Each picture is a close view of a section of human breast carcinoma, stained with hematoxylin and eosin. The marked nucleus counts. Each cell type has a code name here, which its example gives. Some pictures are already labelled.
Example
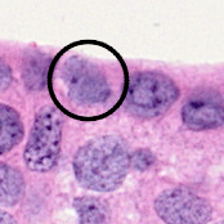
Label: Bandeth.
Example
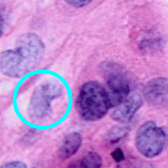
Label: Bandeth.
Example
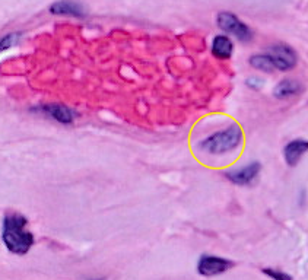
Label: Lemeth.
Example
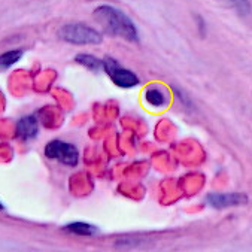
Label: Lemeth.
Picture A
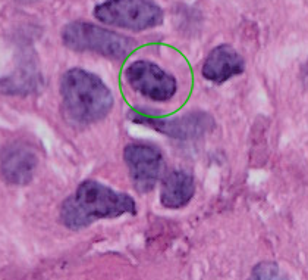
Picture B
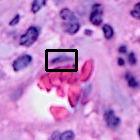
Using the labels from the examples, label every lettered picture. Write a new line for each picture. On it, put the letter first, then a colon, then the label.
A: Bandeth.
B: Lemeth.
